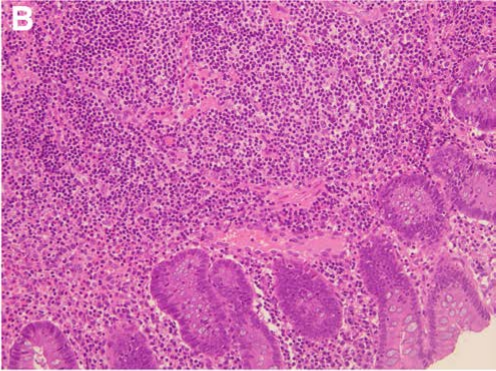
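Several colonic crypts lined by tall columnar epithelium with pale goblet cells lie along the lower and right edges, and the space above and between them is packed with a dense sheet of small to medium-sized round cells. These cells have dark, round to slightly irregular nuclei and little cytoplasm, and some show a paler rim of cytoplasm. Thin pink strands of stroma and small vessels run through the sheet. This is an infiltrate of atypical lymphoid cells crowding the colonic mucosa and spreading between the crypts.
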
